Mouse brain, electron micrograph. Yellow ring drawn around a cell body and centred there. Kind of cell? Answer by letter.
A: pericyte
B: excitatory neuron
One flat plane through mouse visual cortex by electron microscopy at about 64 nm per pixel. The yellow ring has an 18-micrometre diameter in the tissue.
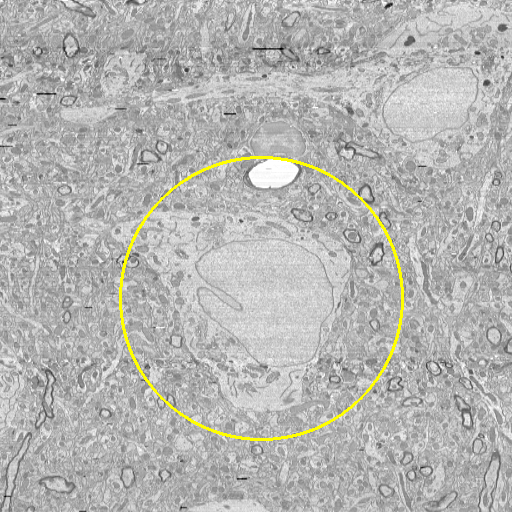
B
